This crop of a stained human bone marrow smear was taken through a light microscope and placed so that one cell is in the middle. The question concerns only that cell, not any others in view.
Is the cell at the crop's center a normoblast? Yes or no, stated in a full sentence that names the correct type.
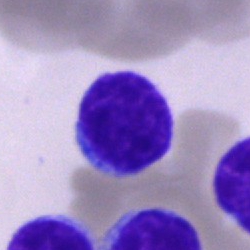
No, at the middle of the crop is a lymphocyte, not a normoblast.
